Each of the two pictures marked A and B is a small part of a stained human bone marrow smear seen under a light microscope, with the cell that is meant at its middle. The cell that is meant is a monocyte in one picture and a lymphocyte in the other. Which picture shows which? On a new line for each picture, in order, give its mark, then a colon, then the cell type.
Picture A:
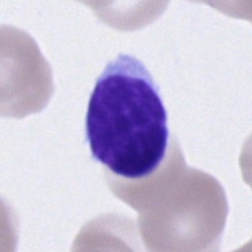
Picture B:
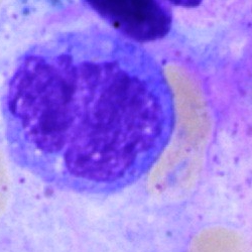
A: lymphocyte
B: monocyte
